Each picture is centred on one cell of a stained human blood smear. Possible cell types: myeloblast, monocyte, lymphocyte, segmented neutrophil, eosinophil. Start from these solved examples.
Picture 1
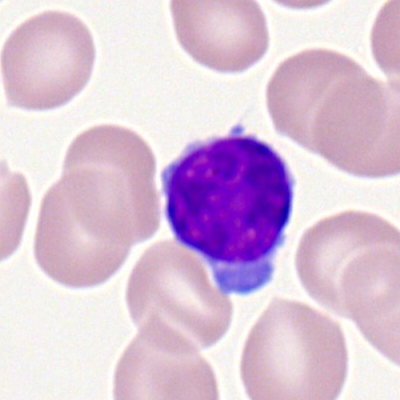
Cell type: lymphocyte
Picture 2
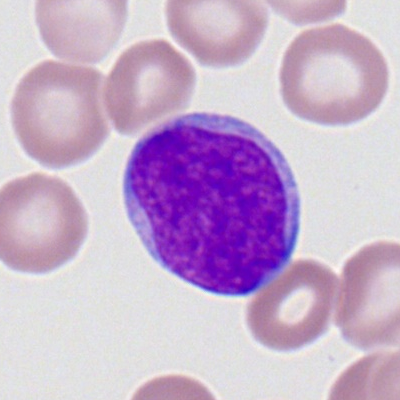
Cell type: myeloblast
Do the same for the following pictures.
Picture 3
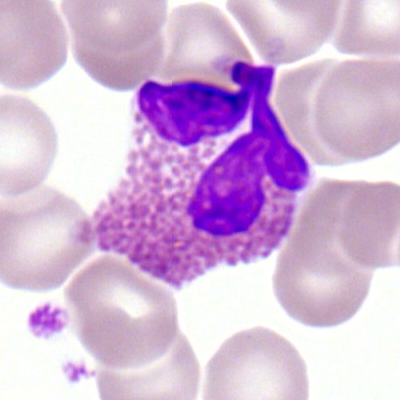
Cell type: eosinophil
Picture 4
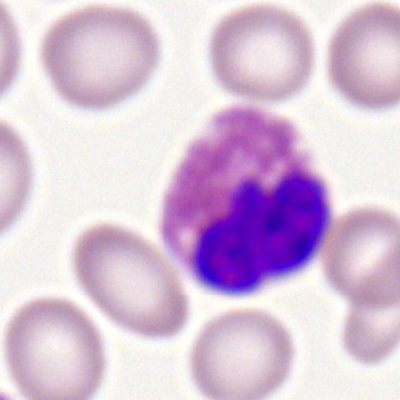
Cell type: eosinophil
